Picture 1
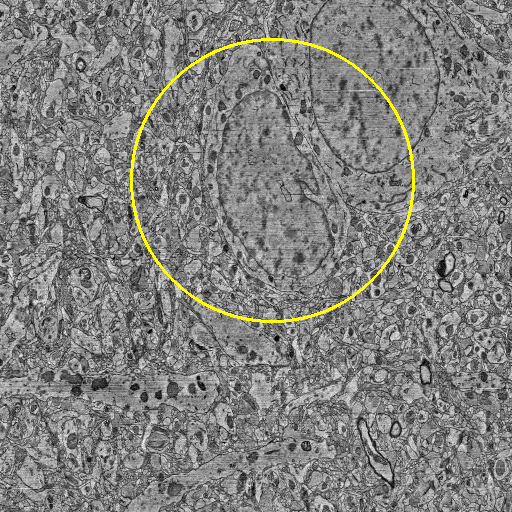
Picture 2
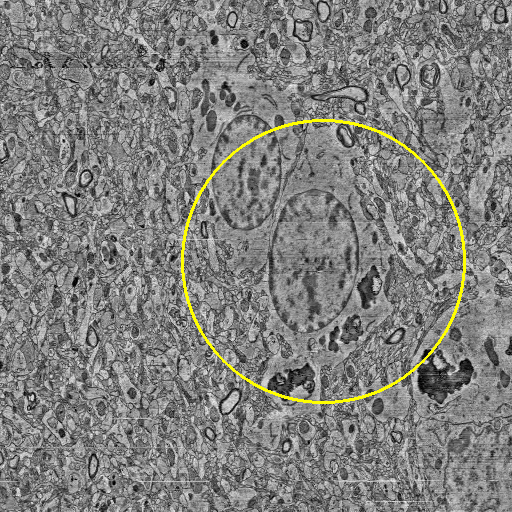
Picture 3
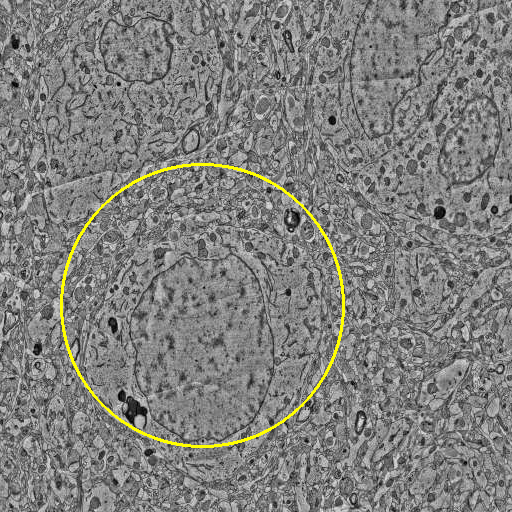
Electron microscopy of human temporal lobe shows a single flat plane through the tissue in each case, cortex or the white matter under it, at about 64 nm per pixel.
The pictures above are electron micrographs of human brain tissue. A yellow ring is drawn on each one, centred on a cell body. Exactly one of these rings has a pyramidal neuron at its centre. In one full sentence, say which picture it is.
Picture 3 has it at the centre of its ring.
